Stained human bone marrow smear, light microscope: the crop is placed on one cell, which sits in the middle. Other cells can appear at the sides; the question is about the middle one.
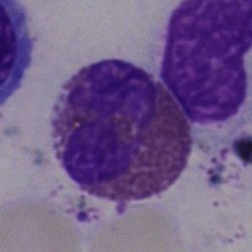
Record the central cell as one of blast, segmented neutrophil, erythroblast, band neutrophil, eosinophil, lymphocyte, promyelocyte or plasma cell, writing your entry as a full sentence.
Positioned in the middle of the crop is an eosinophil.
